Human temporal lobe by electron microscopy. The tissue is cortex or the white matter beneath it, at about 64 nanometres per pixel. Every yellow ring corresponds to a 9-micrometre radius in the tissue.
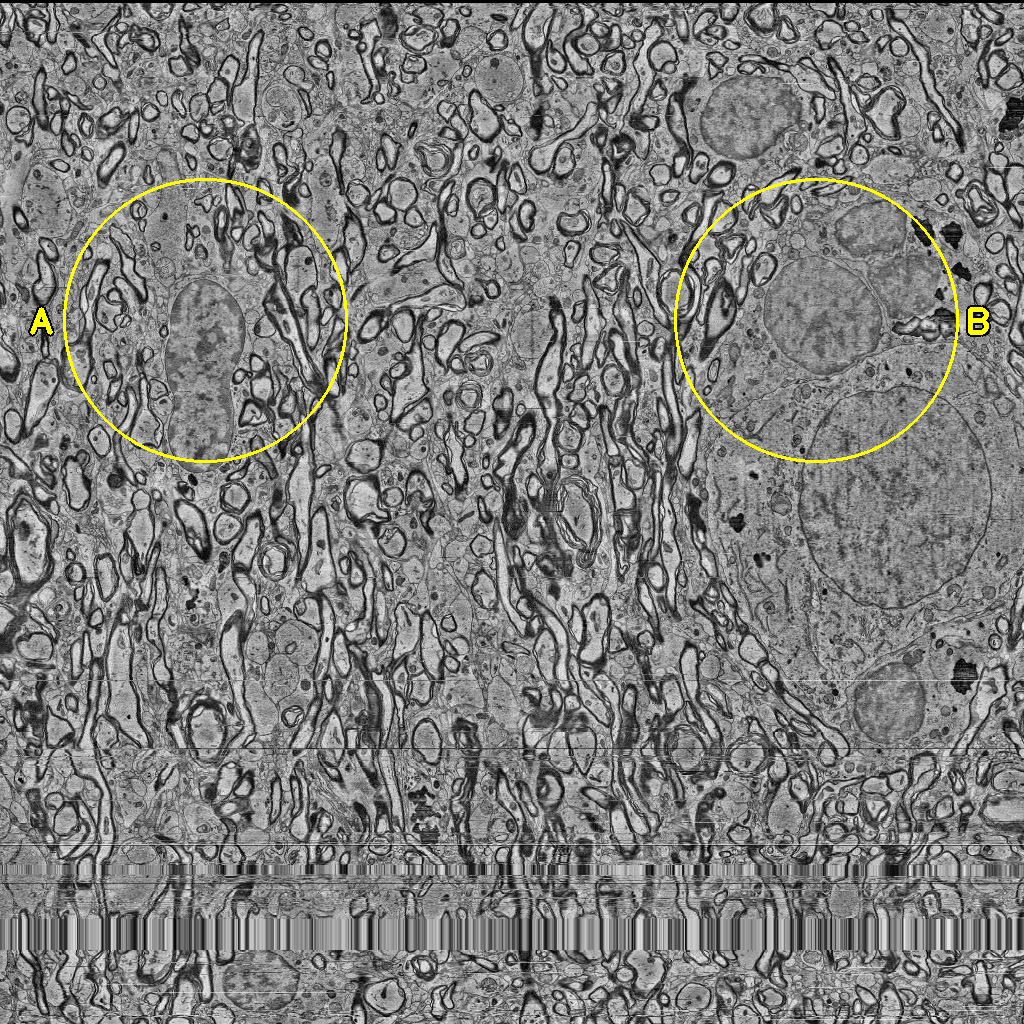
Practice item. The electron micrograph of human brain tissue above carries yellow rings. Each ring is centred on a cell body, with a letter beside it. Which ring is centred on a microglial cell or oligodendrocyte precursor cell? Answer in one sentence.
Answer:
Ring A is centred on it.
